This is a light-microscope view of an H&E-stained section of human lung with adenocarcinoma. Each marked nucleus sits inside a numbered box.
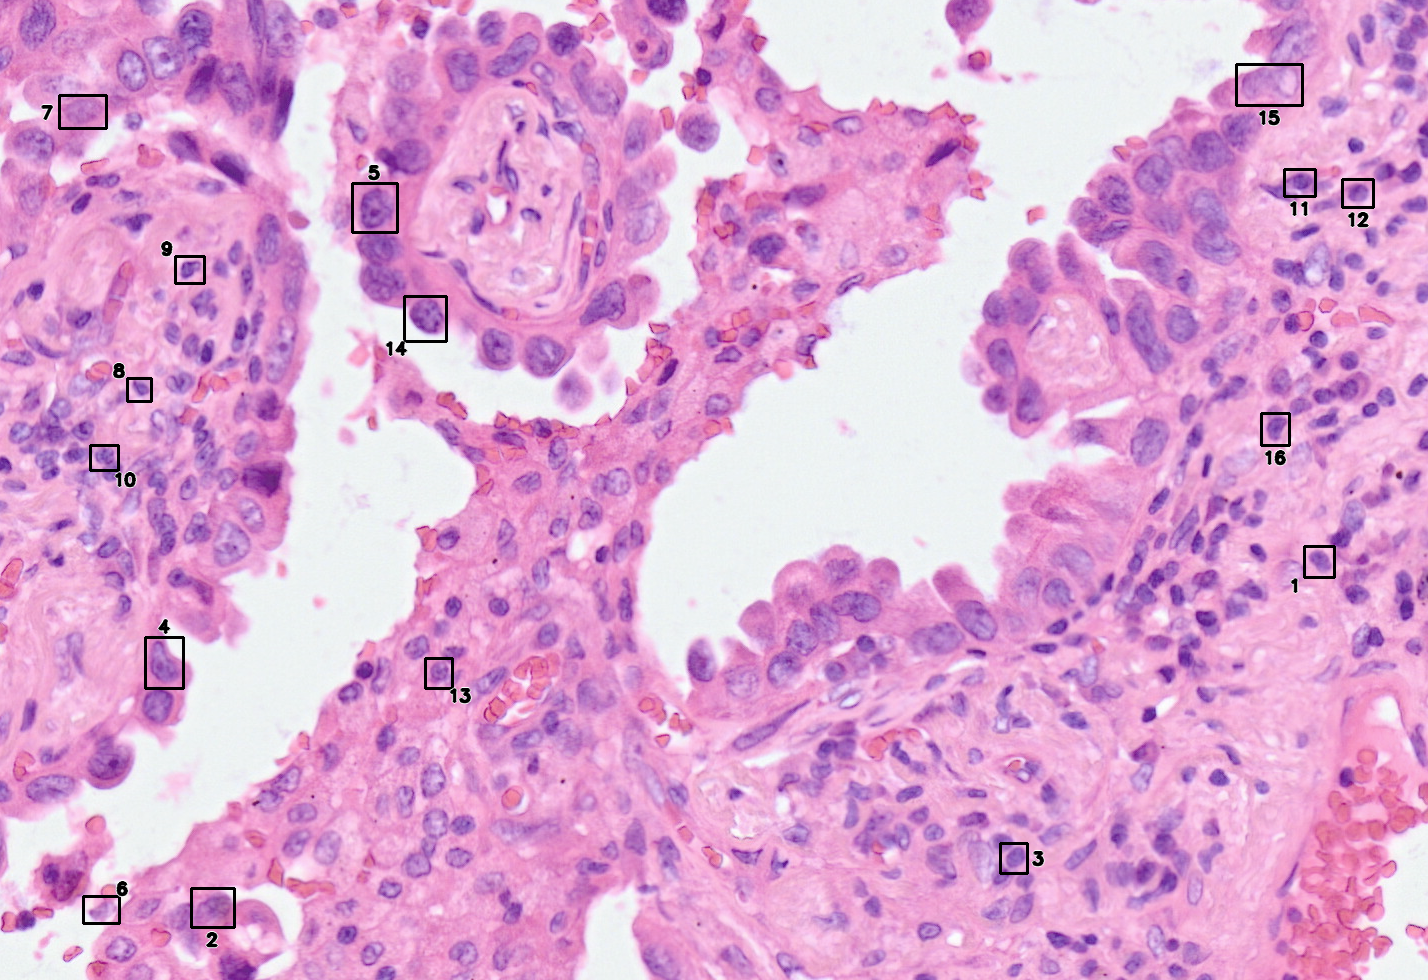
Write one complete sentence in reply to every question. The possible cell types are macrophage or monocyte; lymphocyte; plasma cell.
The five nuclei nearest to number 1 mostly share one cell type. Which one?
The majority of the five nuclei closest to number 1 belong to plasma cells.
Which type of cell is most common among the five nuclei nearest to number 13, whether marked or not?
The majority of the five nuclei closest to number 13 belong to macrophages or monocytes.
